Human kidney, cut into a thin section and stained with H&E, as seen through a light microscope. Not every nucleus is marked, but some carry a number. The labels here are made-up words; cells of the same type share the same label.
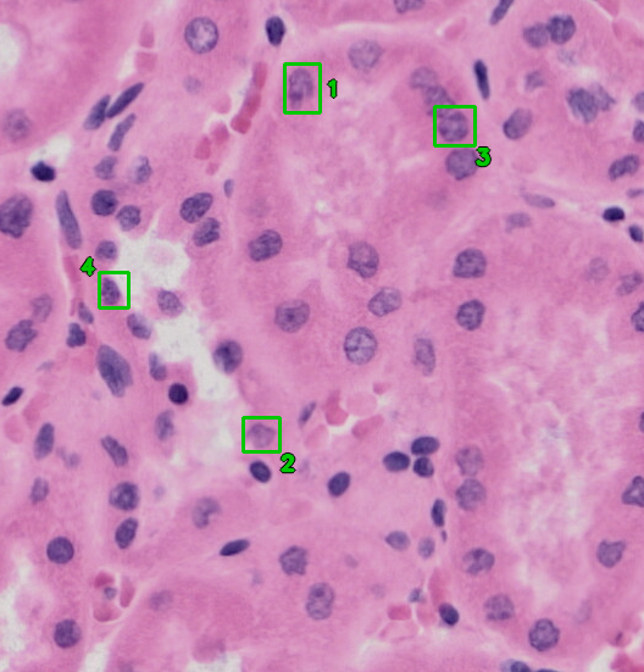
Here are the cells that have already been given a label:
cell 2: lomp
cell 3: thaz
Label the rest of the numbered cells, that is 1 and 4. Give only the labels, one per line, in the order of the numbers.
thaz
lomp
